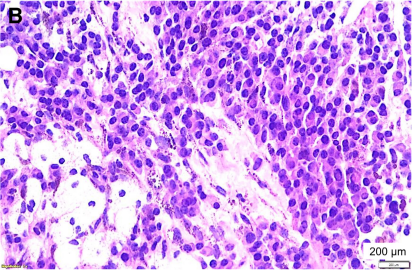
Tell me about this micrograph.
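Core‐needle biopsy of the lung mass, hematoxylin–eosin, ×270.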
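Thin strands of pink stroma run through the sheets. In the lower left lies a paler, loosely textured area with pale, vacuolated cytoplasm. Scattered smaller dark nuclei are mixed in among the larger cells.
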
